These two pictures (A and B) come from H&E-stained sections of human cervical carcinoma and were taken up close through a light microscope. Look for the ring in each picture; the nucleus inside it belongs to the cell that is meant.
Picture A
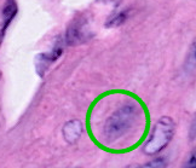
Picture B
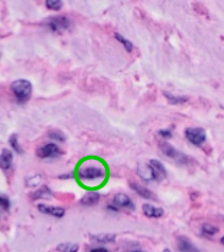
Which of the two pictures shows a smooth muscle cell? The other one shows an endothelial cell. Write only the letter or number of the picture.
A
